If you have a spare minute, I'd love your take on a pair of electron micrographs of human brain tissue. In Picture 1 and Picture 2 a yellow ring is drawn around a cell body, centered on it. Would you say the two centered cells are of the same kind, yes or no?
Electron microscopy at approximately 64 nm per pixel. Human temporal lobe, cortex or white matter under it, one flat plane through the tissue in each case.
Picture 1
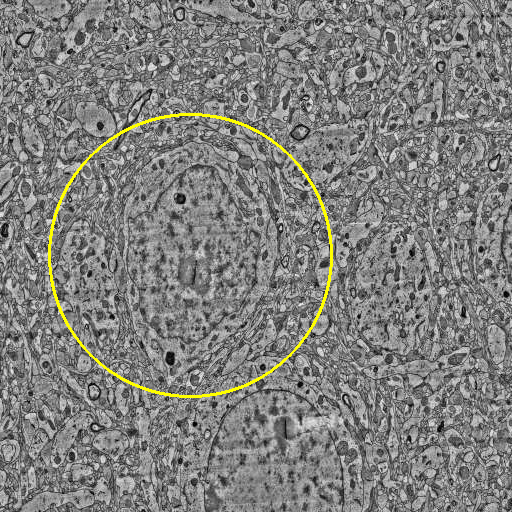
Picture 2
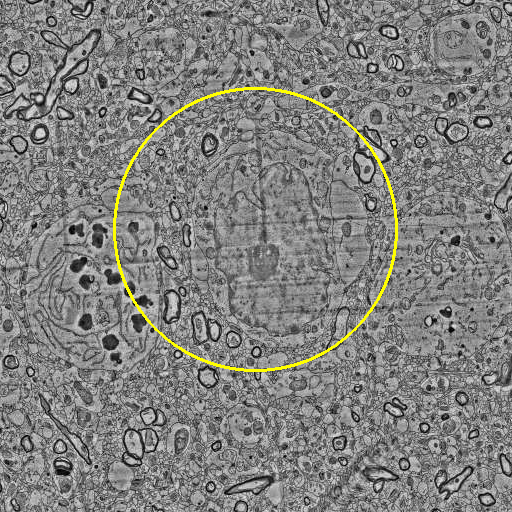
yes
